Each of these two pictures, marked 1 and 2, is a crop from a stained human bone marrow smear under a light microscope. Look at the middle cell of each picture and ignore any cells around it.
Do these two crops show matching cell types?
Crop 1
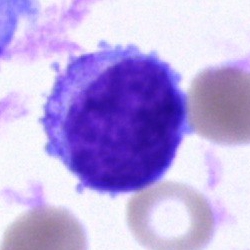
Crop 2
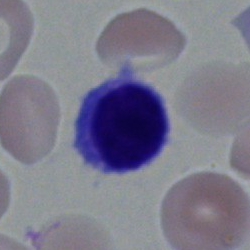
no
